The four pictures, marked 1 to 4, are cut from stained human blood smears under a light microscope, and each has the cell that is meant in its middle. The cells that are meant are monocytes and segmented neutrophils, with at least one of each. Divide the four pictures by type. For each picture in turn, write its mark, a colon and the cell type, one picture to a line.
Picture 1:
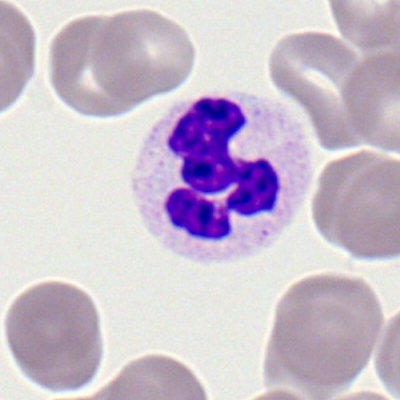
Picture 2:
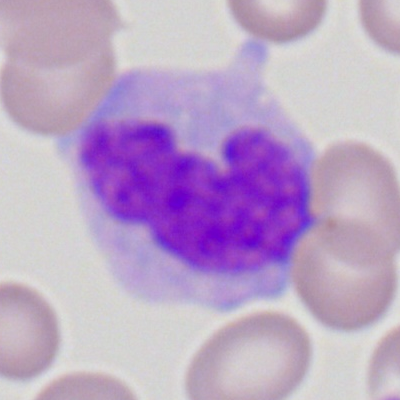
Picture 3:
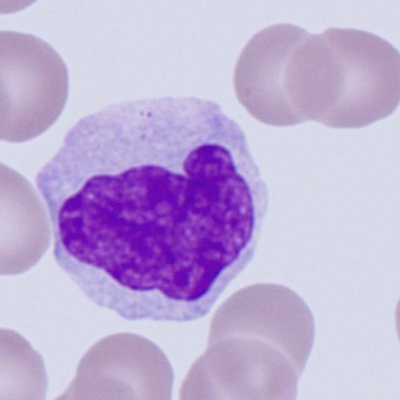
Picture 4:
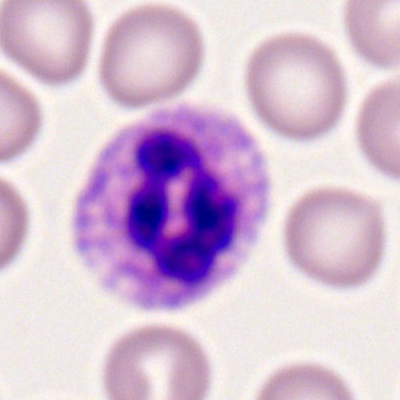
1: segmented neutrophil
2: monocyte
3: monocyte
4: segmented neutrophil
